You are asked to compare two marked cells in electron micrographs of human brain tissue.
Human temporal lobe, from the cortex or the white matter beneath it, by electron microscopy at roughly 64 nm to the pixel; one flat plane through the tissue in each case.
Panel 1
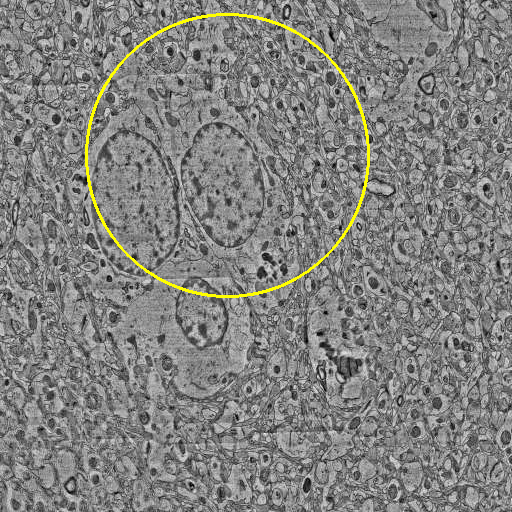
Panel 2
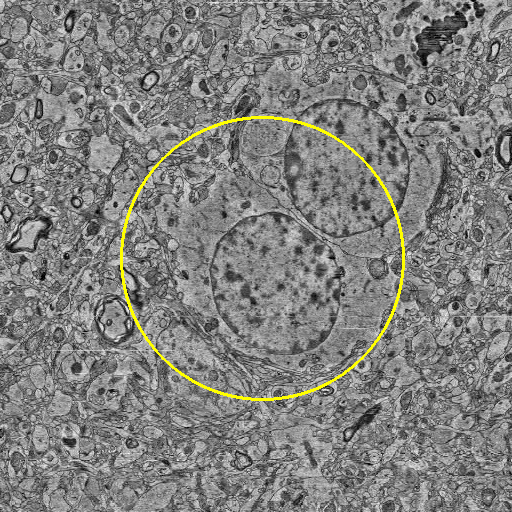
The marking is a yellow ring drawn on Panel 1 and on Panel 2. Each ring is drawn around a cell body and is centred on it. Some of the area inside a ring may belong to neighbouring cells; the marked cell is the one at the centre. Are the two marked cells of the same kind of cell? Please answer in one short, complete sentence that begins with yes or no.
Yes, the two marked cells are of the same kind.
